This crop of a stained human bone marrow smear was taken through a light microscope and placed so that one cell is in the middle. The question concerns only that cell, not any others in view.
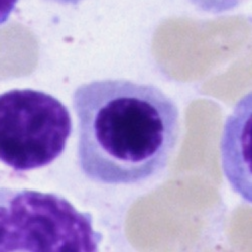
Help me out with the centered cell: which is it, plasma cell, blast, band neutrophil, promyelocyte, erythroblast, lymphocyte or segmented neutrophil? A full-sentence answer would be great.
This crop's central cell is an erythroblast.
